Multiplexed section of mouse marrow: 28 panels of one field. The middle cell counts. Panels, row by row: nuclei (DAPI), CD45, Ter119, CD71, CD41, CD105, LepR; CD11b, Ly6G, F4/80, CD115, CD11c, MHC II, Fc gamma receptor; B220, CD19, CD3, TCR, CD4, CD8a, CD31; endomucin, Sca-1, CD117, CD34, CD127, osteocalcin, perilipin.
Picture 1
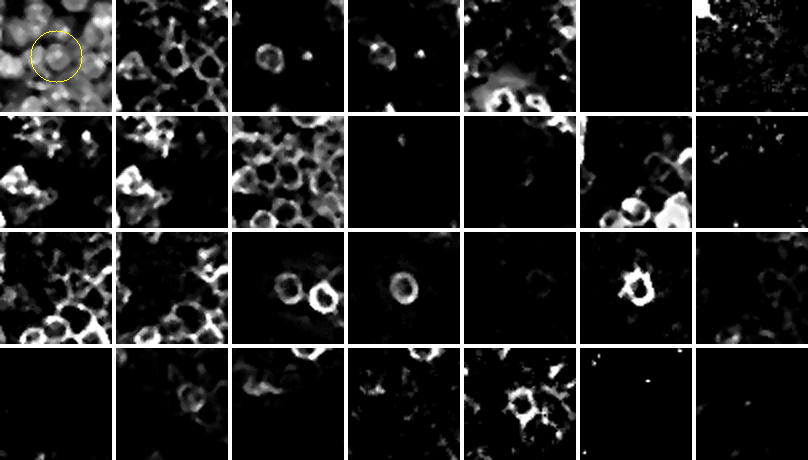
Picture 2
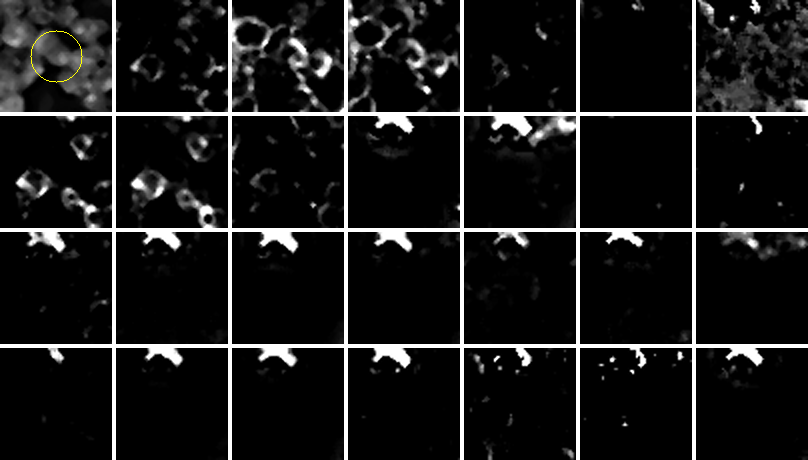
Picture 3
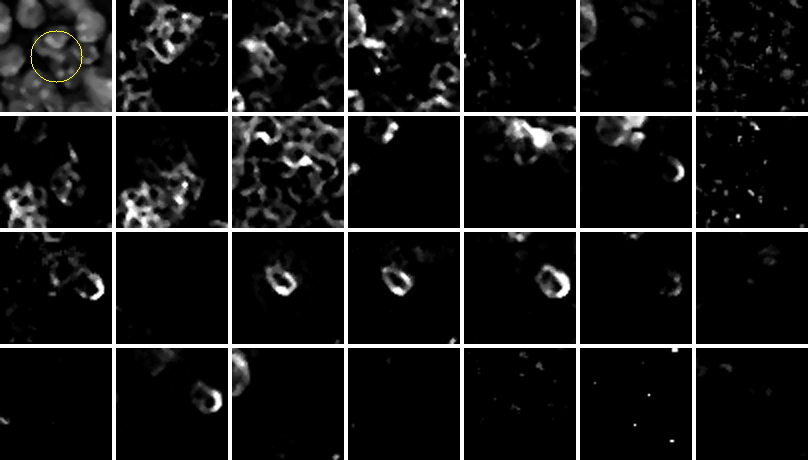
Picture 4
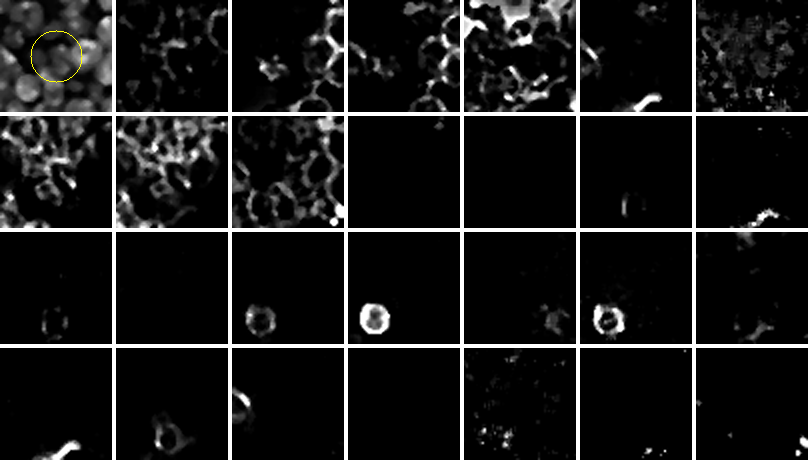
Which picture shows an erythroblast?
Picture 2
